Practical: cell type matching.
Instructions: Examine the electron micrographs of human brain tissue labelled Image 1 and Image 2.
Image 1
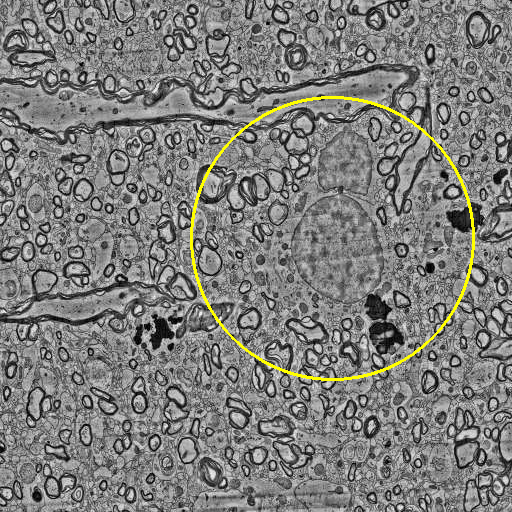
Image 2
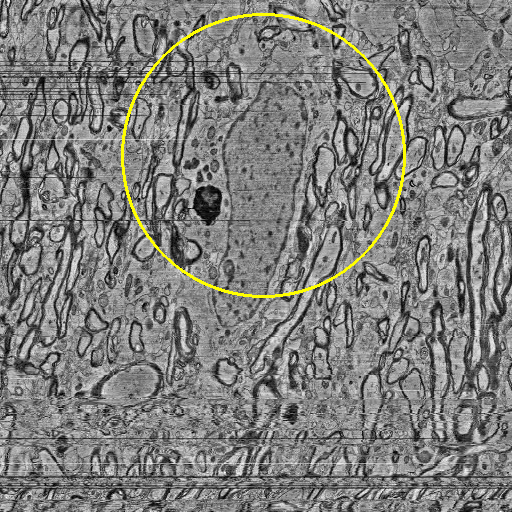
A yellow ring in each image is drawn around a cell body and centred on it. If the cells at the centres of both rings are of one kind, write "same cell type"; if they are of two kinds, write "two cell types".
two cell types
